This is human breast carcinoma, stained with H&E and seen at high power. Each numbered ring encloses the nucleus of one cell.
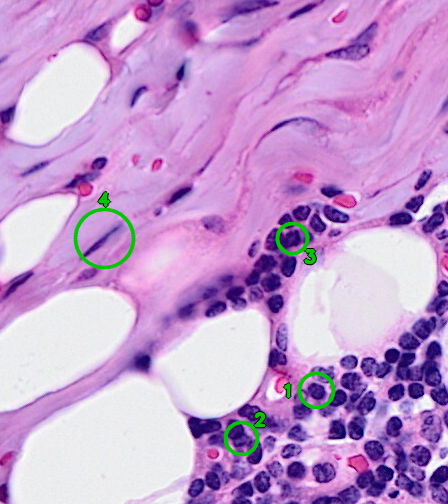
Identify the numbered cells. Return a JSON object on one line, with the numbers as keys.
{"1": "lymphocyte", "2": "lymphocyte", "3": "lymphocyte", "4": "fibroblast"}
